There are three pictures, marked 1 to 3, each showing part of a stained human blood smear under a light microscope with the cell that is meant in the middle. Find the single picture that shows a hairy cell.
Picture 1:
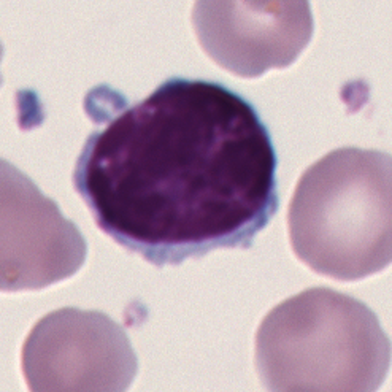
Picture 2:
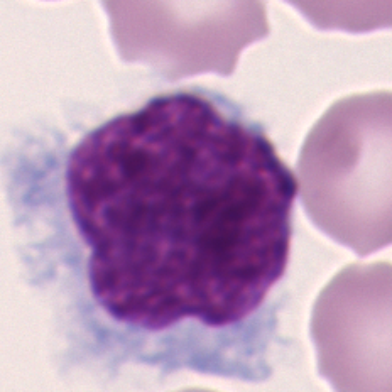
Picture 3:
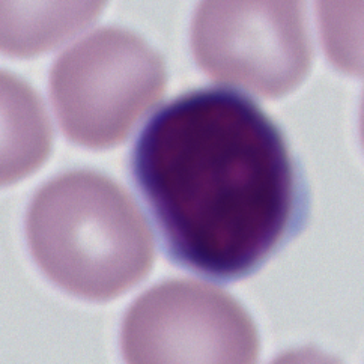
2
